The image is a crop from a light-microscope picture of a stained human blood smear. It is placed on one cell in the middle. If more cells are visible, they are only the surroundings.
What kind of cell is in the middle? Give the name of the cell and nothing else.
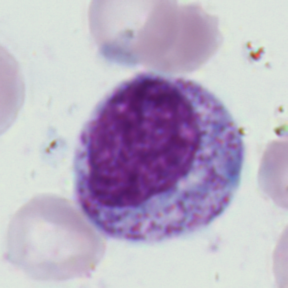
promyelocyte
